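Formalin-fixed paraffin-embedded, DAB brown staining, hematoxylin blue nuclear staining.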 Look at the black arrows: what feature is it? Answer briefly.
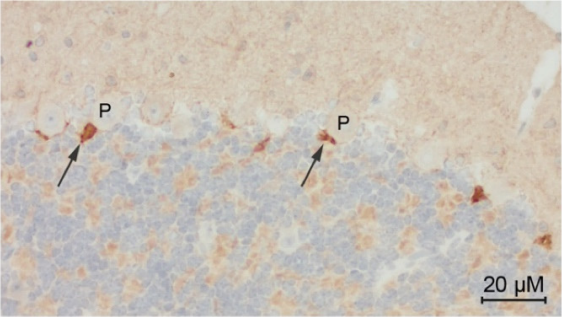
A: Basket cell terminal pinceaux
